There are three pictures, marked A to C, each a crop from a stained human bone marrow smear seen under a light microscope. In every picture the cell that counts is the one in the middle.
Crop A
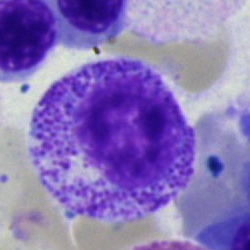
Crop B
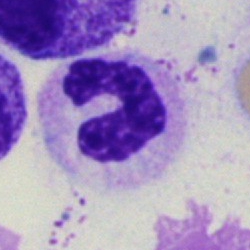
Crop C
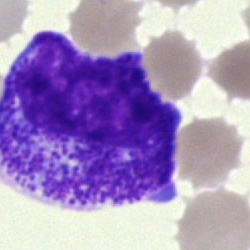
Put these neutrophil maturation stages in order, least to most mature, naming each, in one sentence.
So the order, from least to most mature, is crop C (a promyelocyte), crop A (a myelocyte) and crop B (a band neutrophil).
